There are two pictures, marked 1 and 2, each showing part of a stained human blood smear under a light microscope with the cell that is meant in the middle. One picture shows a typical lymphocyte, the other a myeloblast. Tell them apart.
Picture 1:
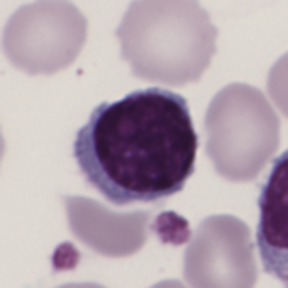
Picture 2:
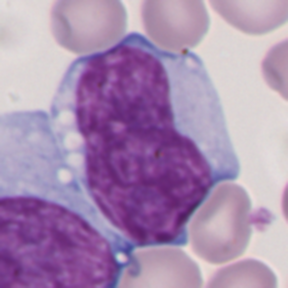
1: typical lymphocyte
2: myeloblast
